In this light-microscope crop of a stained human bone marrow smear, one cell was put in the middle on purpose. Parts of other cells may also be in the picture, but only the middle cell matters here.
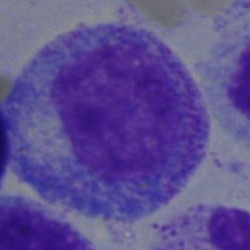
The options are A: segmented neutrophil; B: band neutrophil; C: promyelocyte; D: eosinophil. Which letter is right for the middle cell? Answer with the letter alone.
C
